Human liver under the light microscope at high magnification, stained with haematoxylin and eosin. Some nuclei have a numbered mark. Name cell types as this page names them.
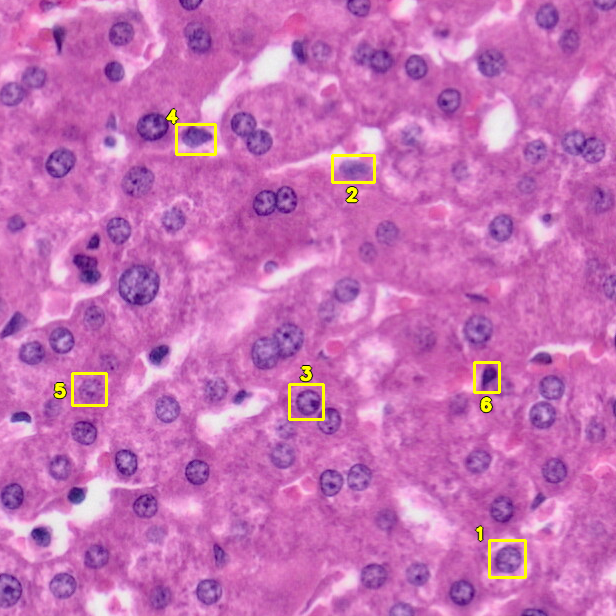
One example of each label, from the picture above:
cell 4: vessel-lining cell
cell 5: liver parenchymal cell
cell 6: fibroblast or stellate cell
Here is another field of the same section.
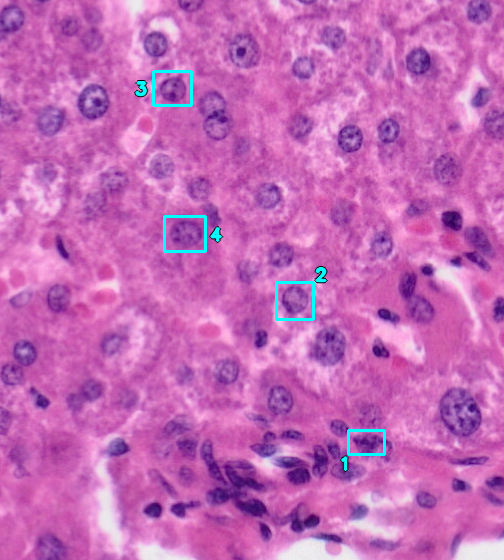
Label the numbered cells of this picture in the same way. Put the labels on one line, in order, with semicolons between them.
fibroblast or stellate cell; liver parenchymal cell; liver parenchymal cell; liver parenchymal cell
